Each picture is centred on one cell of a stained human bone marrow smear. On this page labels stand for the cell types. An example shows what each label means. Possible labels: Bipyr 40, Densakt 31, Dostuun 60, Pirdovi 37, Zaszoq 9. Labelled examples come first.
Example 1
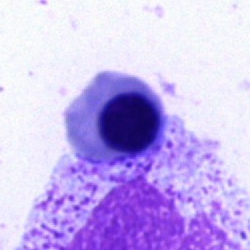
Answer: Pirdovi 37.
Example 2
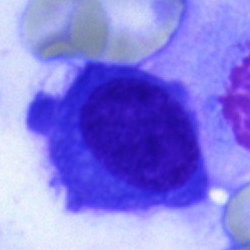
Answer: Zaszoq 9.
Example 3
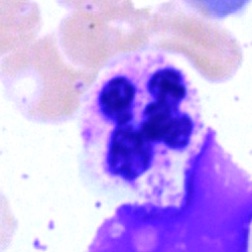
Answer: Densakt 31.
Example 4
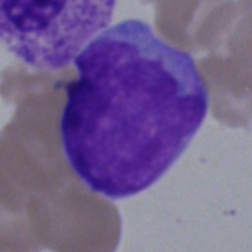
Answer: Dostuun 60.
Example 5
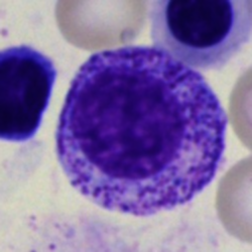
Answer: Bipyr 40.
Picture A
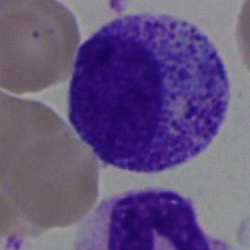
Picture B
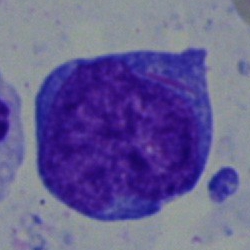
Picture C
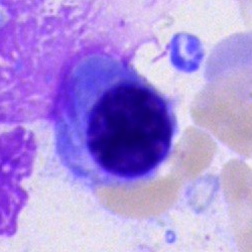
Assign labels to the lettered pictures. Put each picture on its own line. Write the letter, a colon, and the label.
A: Bipyr 40.
B: Dostuun 60.
C: Pirdovi 37.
